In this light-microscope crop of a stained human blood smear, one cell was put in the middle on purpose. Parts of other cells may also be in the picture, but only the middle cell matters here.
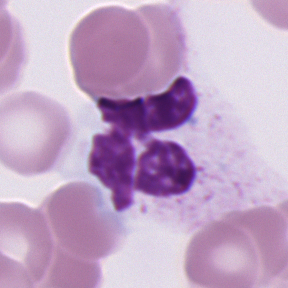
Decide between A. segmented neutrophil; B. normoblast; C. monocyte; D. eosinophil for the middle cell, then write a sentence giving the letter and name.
The best answer is option A, since the cell in the middle is a segmented neutrophil.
